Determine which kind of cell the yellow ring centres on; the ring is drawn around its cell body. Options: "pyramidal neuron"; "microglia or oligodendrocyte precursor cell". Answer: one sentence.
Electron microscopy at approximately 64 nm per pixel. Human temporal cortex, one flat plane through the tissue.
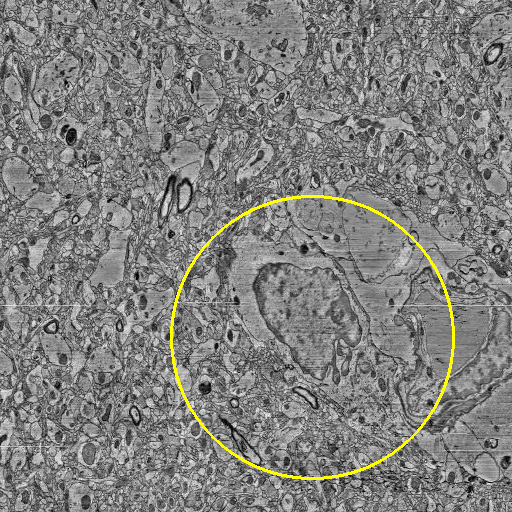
The ring centres on a microglial cell or oligodendrocyte precursor cell.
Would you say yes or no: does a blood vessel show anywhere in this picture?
Yes, the image shows a blood vessel.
